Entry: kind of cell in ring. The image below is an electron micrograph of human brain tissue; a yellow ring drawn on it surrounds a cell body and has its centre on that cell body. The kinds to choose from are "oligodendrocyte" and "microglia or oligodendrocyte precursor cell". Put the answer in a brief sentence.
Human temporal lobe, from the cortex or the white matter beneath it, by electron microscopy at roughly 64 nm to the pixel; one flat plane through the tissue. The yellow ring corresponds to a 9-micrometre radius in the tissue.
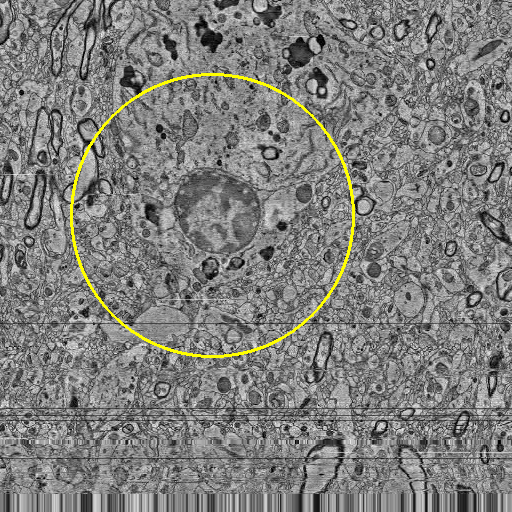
The ring has been drawn around a microglial cell or oligodendrocyte precursor cell.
